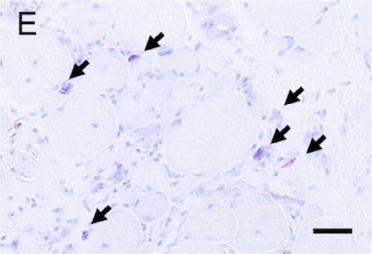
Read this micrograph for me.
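This is a cross-section of skeletal muscle with several mast cells scattered between the fibres. The fibres are pale and rounded rather than polygonal, and they vary in size. They are set apart by widened interstitial spaces. These spaces hold many small blue nuclei, more than in tightly packed normal muscle.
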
